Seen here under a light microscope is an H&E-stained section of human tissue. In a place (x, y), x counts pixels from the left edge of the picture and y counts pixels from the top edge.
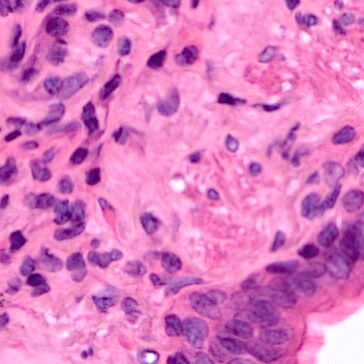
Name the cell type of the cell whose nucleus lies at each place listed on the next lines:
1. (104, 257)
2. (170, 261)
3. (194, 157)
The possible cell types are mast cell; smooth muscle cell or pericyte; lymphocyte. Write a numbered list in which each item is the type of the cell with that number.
1. lymphocyte
2. mast cell
3. smooth muscle cell or pericyte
